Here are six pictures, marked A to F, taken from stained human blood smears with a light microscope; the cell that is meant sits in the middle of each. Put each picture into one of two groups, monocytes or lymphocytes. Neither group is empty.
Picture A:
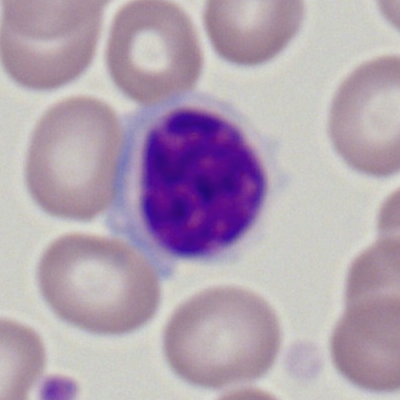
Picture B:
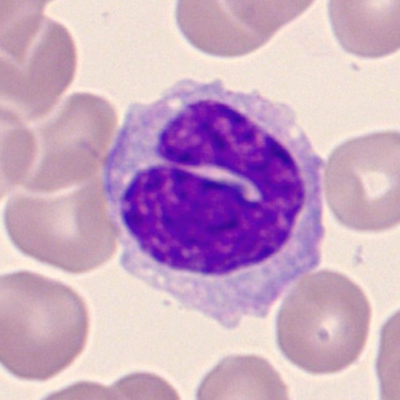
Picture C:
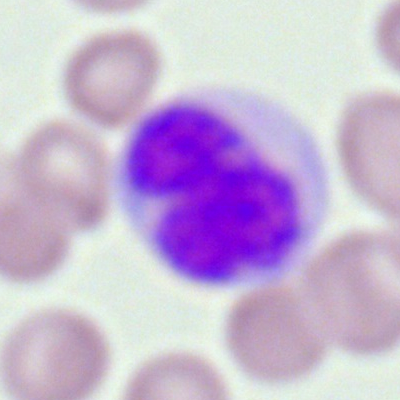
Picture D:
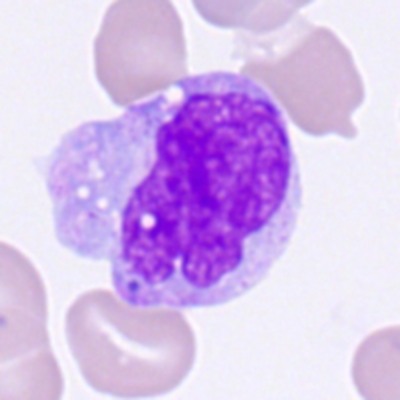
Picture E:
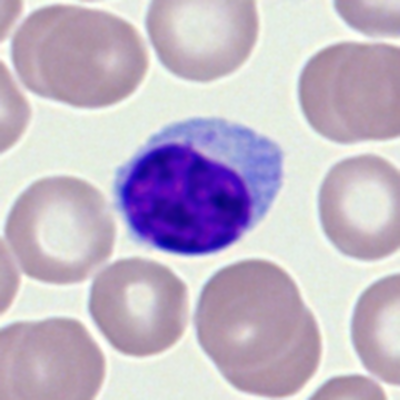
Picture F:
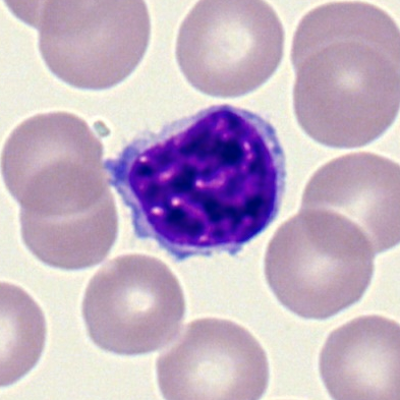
A: lymphocyte
B: monocyte
C: monocyte
D: monocyte
E: lymphocyte
F: lymphocyte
